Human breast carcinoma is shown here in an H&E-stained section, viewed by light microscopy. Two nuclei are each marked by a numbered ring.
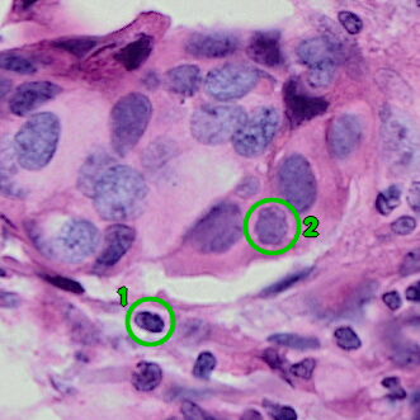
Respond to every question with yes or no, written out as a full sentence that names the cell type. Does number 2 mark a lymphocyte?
No, the cell at number 2 is a carcinoma cell instead of a lymphocyte.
